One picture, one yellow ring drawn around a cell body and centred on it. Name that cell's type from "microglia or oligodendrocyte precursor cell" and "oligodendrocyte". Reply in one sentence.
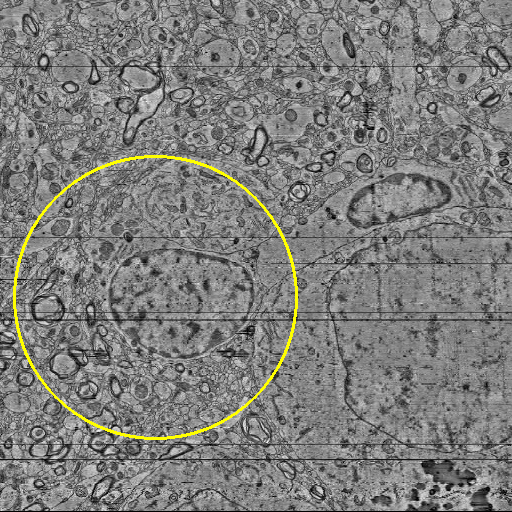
Centred in the ring is a microglial cell or oligodendrocyte precursor cell.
